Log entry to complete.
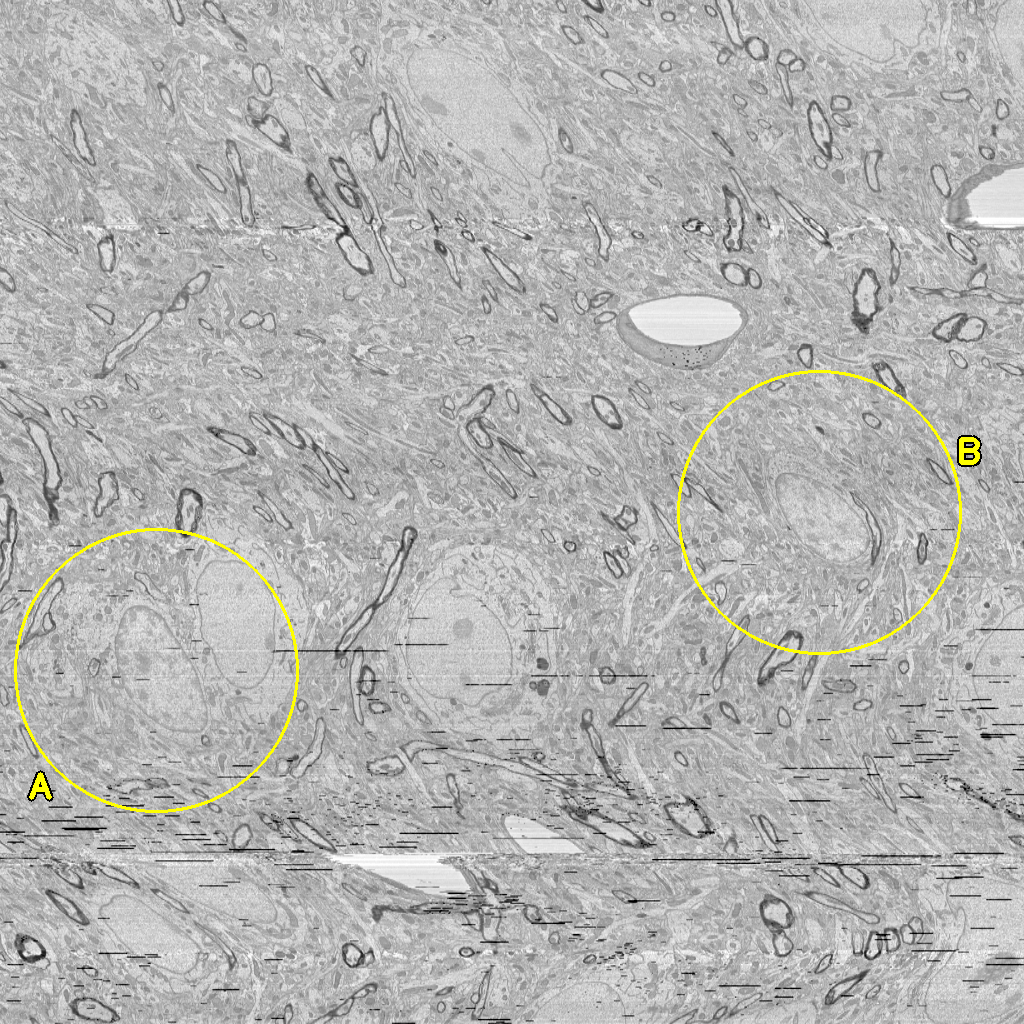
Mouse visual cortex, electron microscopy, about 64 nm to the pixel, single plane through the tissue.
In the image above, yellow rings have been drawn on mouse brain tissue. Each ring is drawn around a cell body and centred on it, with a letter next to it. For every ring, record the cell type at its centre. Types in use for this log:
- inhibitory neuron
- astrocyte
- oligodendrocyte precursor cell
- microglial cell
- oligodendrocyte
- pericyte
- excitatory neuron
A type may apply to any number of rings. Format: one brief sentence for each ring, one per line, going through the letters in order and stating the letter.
In ring A, the centred cell is an oligodendrocyte.
In ring B, the centred cell is an oligodendrocyte.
